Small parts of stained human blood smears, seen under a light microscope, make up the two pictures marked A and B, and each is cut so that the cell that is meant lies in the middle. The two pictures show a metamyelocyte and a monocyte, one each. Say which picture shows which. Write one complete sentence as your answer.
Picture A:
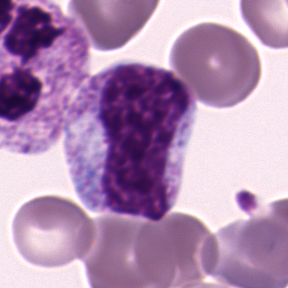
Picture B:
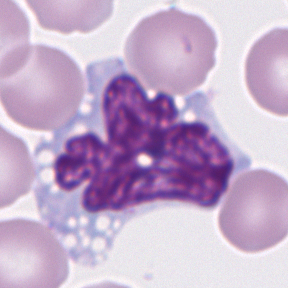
Picture A shows a metamyelocyte and picture B shows a monocyte.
